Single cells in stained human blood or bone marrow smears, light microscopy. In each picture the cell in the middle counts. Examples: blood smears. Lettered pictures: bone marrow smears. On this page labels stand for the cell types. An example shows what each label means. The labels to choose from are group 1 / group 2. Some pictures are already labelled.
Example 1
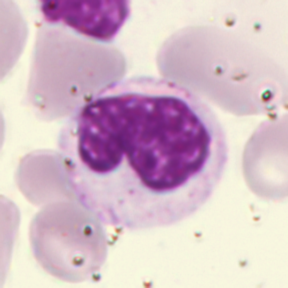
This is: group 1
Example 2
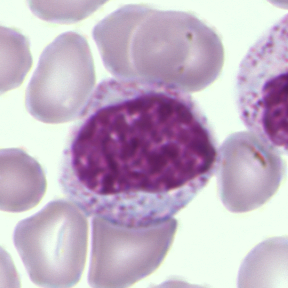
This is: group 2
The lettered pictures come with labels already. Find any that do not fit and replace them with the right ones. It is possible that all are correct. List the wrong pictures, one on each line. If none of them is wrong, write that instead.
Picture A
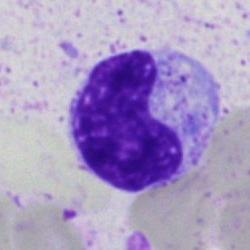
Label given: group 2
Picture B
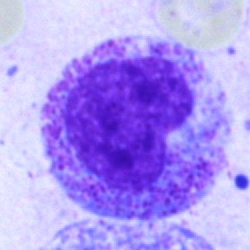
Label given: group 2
Every label is right.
